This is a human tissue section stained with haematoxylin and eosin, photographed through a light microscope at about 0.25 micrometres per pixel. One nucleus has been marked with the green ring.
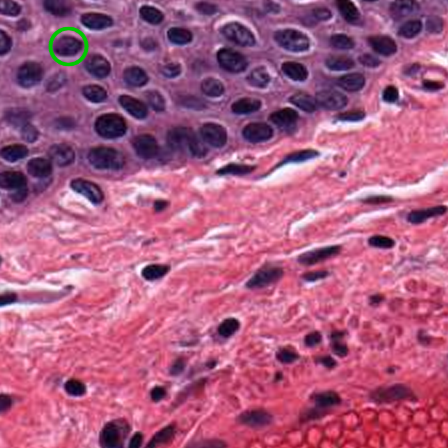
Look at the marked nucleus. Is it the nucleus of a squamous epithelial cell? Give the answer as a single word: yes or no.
yes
